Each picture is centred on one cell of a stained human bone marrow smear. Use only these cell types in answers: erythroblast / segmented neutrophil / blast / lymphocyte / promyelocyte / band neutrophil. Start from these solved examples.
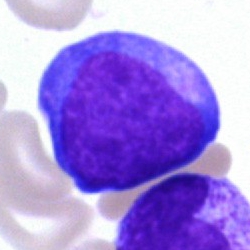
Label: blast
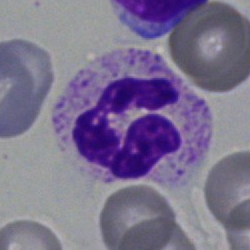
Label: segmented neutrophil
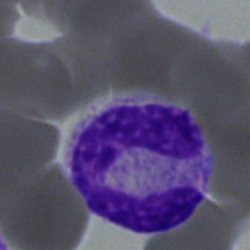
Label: band neutrophil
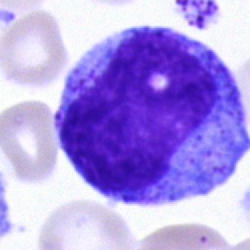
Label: promyelocyte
